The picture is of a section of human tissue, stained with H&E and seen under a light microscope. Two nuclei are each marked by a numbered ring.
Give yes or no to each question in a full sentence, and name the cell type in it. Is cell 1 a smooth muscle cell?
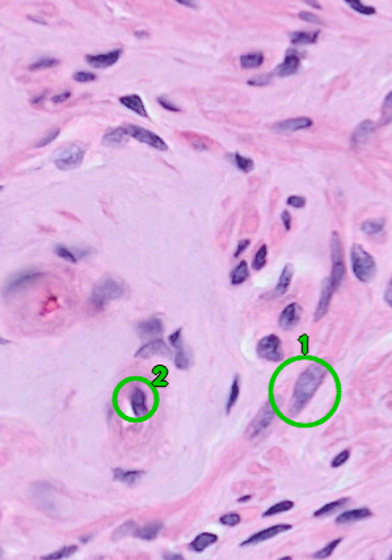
Yes, the one numbered 1 is a smooth muscle cell.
